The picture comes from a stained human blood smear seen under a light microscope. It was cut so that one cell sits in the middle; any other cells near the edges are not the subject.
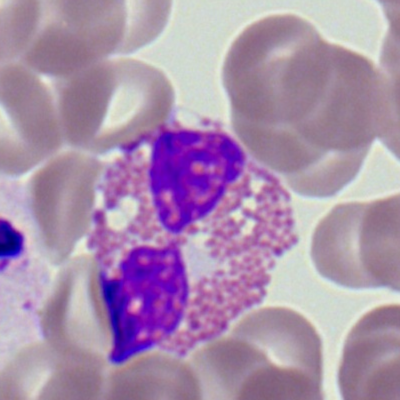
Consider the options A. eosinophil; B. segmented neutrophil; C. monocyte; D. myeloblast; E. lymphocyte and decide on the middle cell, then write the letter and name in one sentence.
For this crop, option A is right, the centered cell being an eosinophil.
